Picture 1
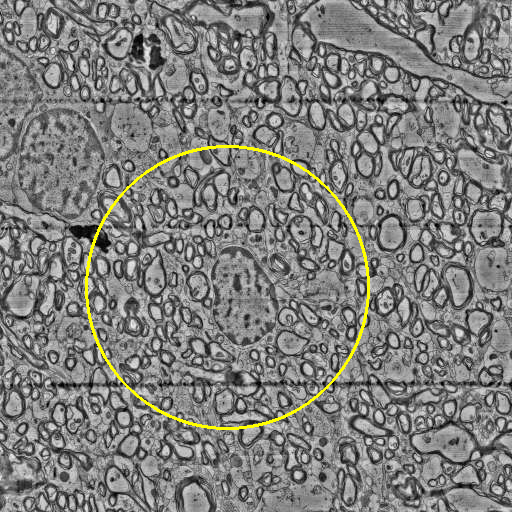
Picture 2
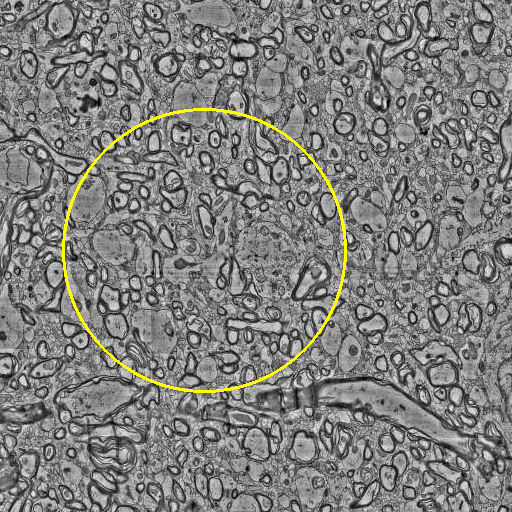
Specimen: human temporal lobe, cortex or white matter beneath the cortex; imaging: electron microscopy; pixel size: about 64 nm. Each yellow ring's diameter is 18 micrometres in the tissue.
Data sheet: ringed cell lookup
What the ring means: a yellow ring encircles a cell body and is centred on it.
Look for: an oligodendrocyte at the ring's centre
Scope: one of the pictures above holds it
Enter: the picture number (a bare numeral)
2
